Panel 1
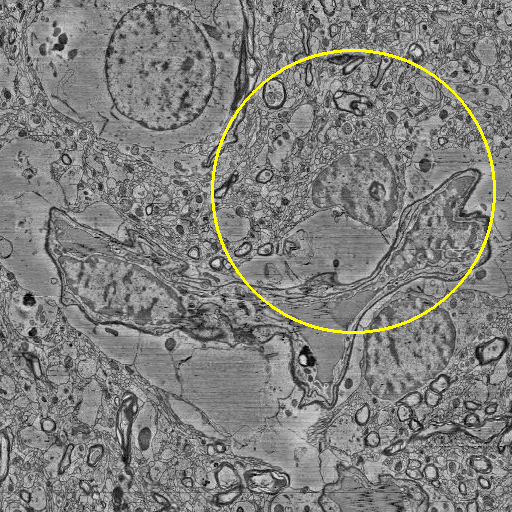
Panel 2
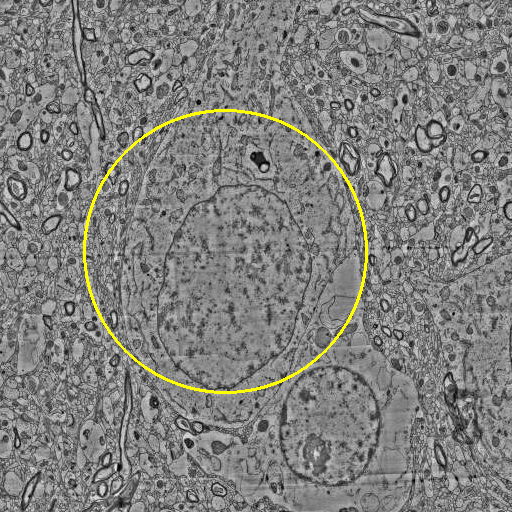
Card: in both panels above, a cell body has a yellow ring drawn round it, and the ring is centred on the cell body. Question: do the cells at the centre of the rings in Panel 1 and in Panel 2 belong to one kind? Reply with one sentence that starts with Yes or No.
No, the cells centred in the rings of Panel 1 and Panel 2 are two kinds of cell.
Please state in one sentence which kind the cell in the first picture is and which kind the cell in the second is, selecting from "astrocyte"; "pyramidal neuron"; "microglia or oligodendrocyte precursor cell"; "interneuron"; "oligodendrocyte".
The first ringed cell is an oligodendrocyte, the second ringed cell a pyramidal neuron.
